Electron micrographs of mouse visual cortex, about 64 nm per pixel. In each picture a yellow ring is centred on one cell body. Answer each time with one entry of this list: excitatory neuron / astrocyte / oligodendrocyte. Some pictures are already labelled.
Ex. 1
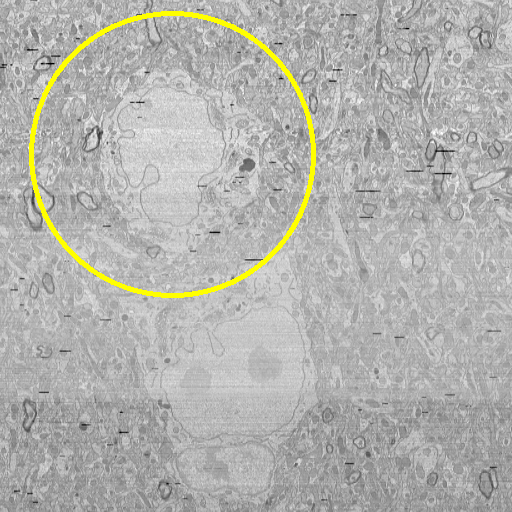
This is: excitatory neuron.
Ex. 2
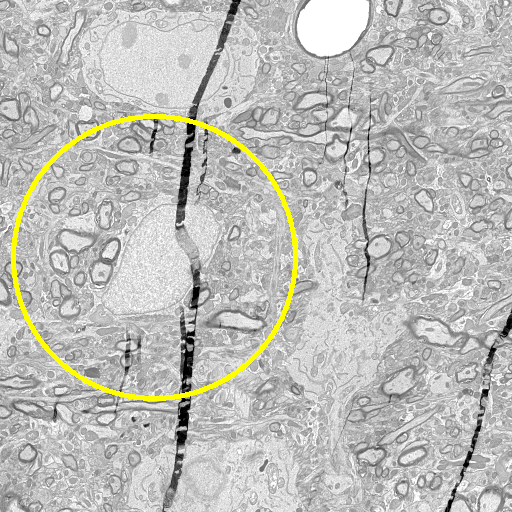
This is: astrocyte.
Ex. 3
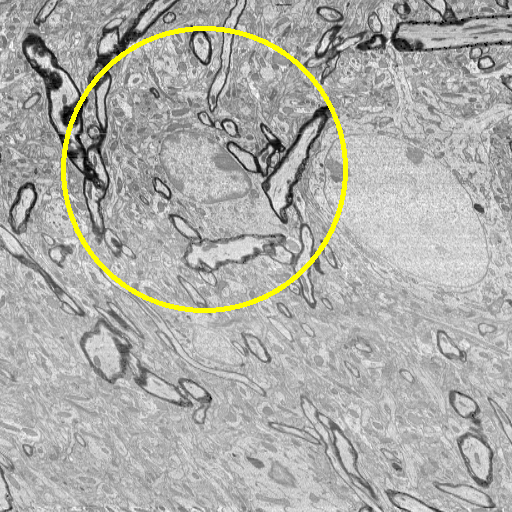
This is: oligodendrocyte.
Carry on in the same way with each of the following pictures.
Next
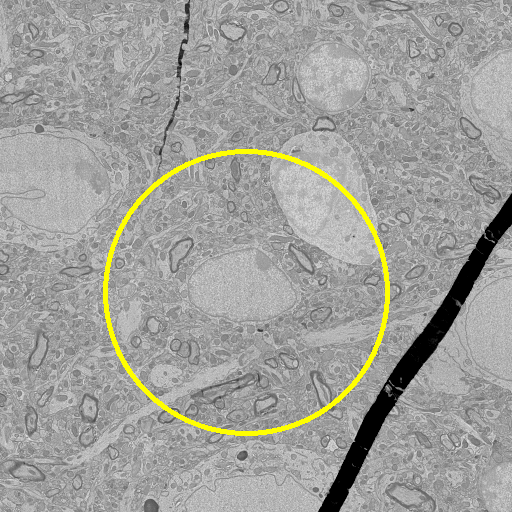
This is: astrocyte.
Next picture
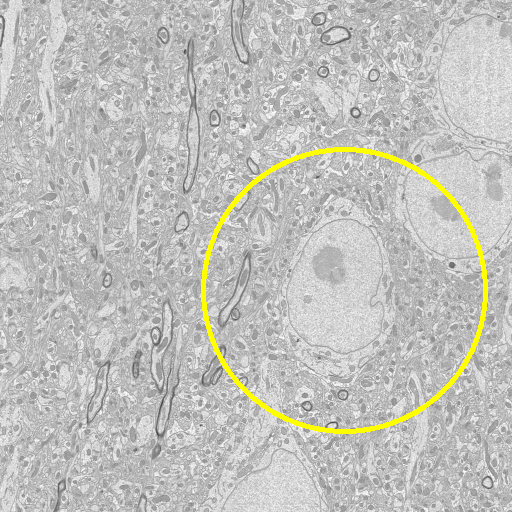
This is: excitatory neuron.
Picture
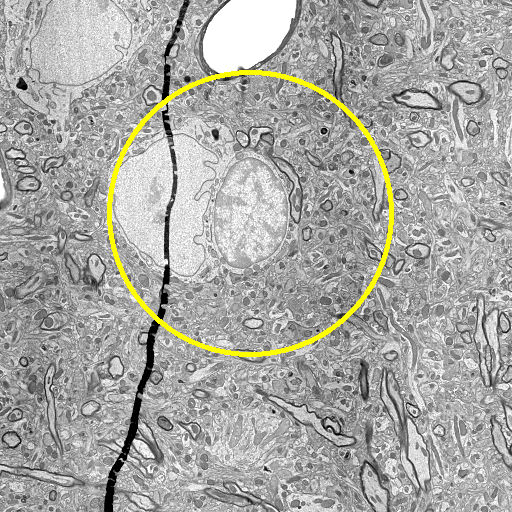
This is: oligodendrocyte.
